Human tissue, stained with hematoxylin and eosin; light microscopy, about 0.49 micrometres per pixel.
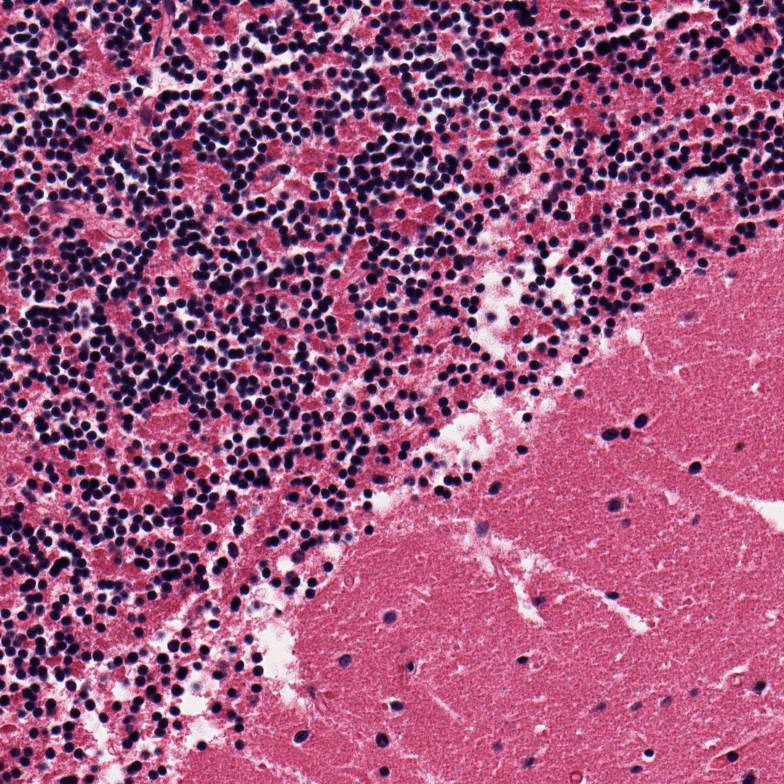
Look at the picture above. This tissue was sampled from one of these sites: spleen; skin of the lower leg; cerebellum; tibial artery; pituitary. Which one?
cerebellum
